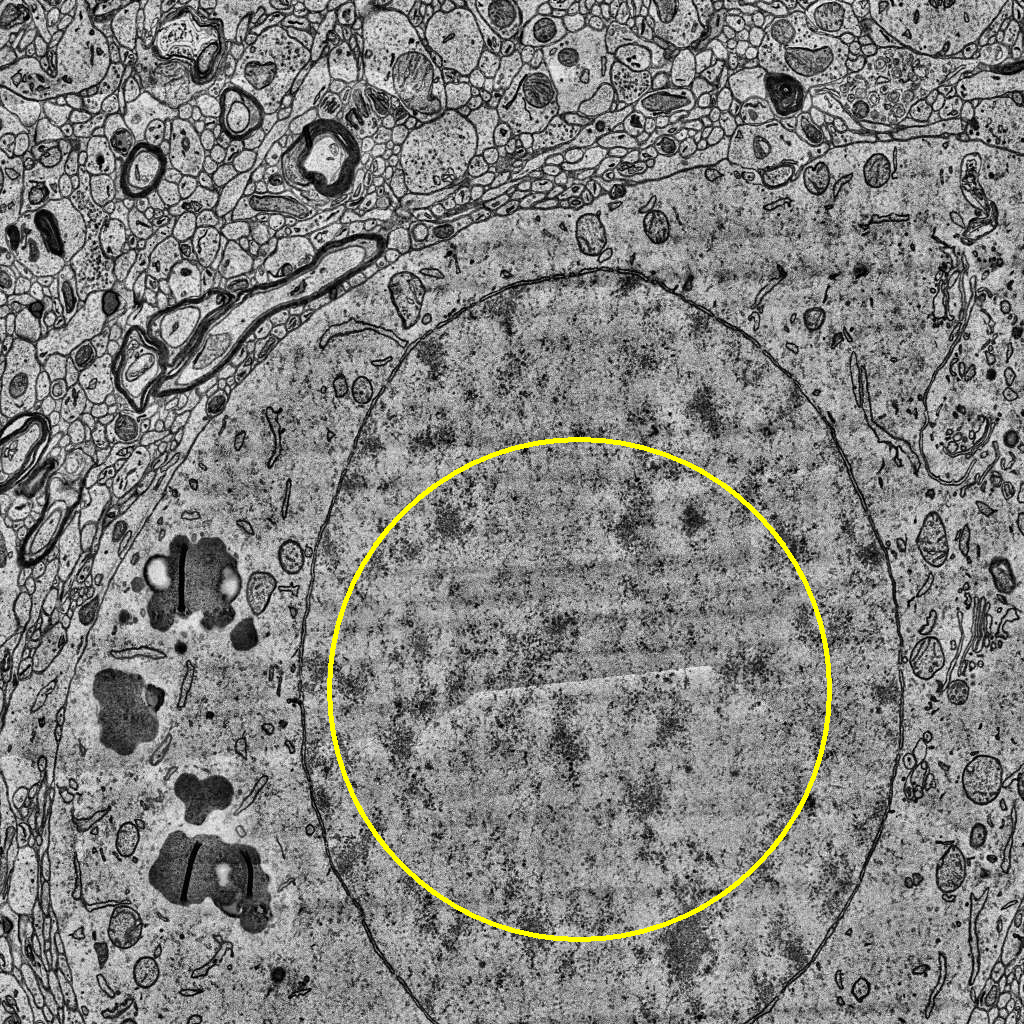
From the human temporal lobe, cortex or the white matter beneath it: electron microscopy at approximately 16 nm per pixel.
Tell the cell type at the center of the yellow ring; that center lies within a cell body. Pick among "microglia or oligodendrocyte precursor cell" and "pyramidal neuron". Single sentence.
The ring's center lies in the body of a pyramidal neuron.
